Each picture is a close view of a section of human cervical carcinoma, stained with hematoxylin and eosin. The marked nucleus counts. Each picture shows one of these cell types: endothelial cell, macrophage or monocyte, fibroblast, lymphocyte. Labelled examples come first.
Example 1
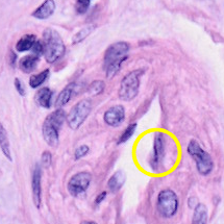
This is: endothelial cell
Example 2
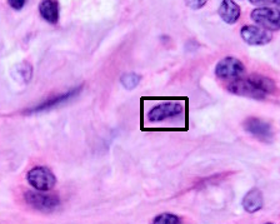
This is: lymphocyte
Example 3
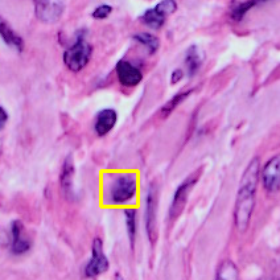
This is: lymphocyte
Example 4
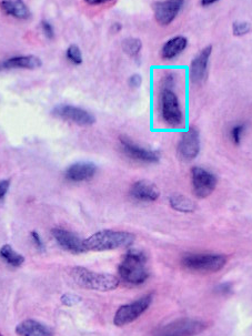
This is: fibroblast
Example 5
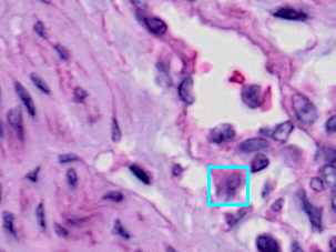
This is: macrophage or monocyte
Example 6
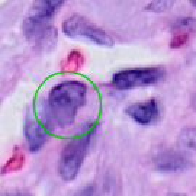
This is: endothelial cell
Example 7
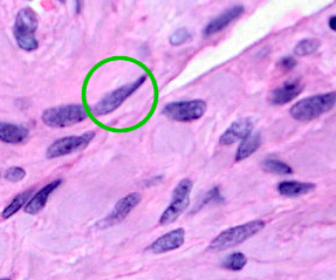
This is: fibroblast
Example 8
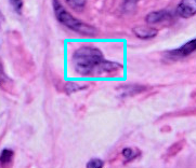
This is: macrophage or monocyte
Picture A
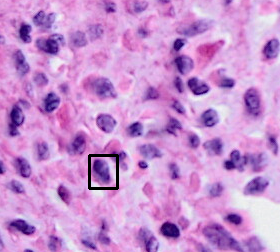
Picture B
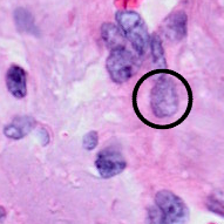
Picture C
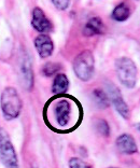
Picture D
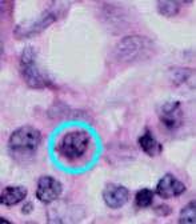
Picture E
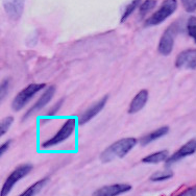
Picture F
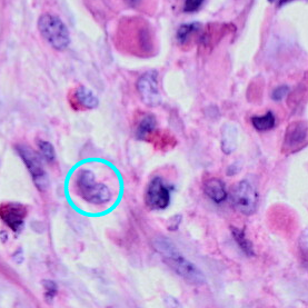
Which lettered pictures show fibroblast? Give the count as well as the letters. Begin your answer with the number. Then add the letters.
Count: 1 (E)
